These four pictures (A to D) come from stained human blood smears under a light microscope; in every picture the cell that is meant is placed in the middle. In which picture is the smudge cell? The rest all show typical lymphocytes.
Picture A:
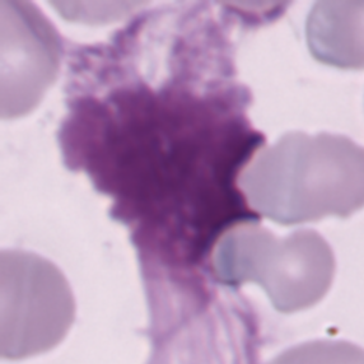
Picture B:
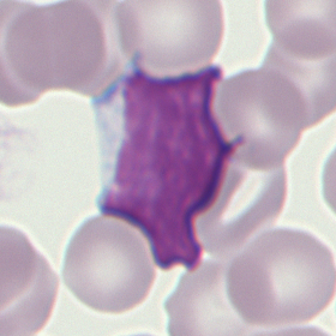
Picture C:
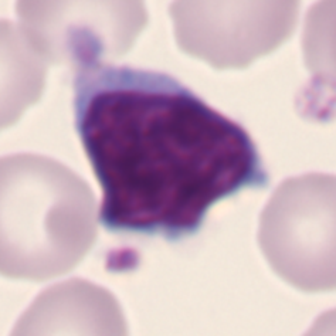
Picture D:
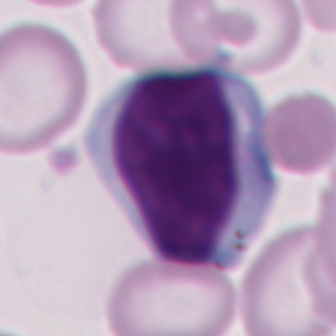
A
